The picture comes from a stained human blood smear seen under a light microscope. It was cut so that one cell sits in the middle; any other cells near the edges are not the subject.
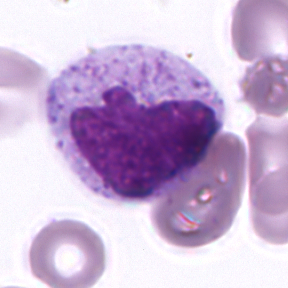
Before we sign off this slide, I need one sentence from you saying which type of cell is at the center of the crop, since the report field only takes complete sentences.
The cell that lies at the centre of the crop is a metamyelocyte.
